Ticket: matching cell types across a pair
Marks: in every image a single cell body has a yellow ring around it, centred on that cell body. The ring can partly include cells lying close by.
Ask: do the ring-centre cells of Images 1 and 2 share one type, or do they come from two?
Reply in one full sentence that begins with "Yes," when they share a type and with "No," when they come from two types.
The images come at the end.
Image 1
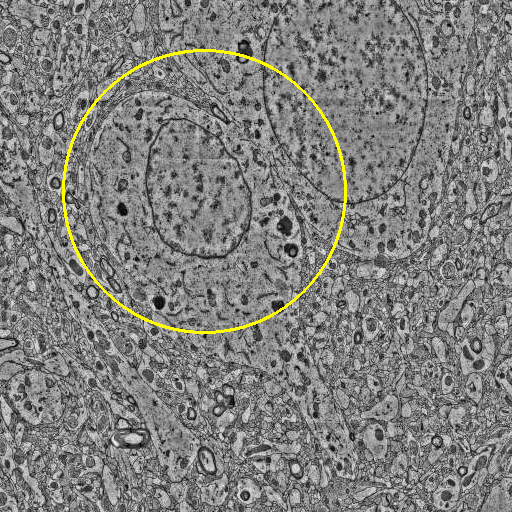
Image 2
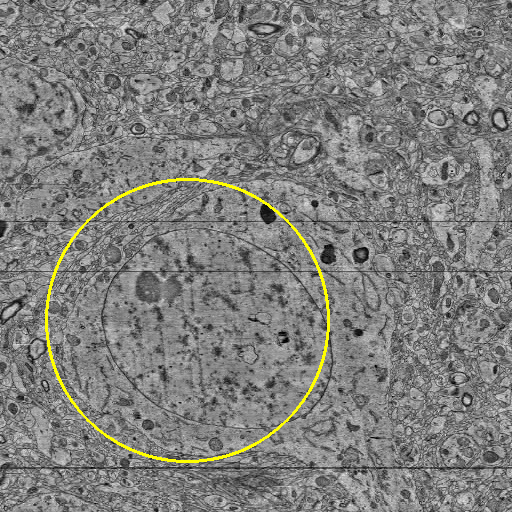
Yes, the cells in the centres of the rings in Image 1 and Image 2 share one type.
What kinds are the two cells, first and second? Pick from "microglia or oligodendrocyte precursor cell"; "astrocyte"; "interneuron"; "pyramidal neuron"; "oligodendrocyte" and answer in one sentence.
The cell in the first picture is a pyramidal neuron, and so is the one in the second.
